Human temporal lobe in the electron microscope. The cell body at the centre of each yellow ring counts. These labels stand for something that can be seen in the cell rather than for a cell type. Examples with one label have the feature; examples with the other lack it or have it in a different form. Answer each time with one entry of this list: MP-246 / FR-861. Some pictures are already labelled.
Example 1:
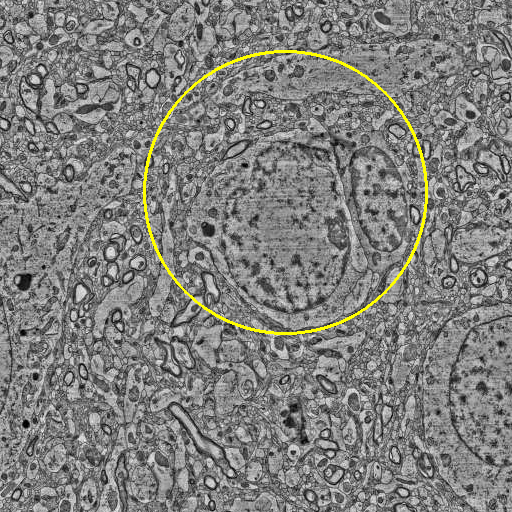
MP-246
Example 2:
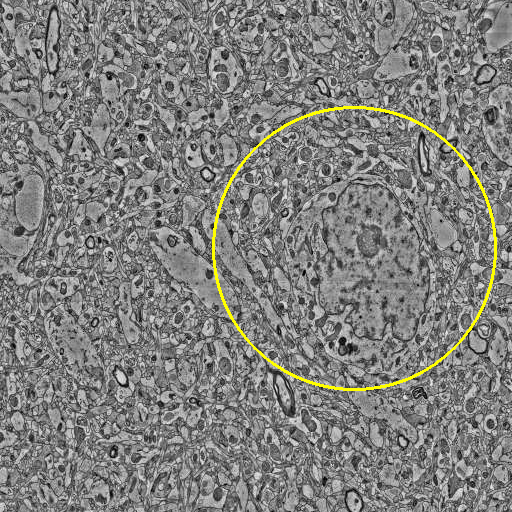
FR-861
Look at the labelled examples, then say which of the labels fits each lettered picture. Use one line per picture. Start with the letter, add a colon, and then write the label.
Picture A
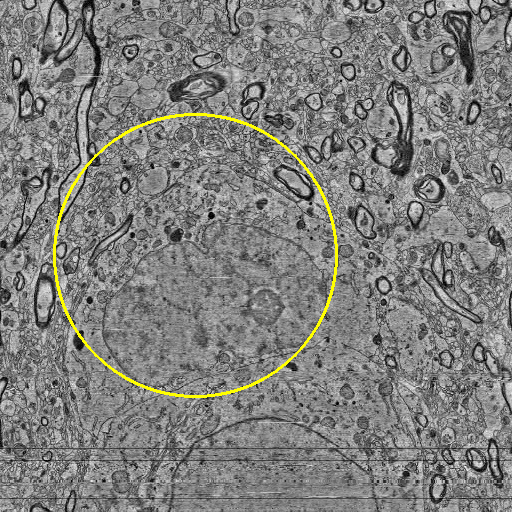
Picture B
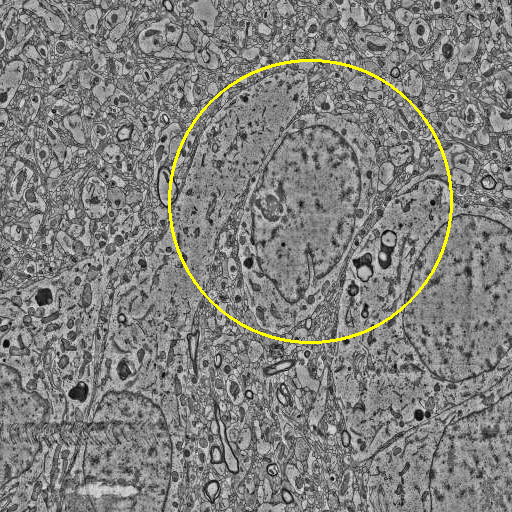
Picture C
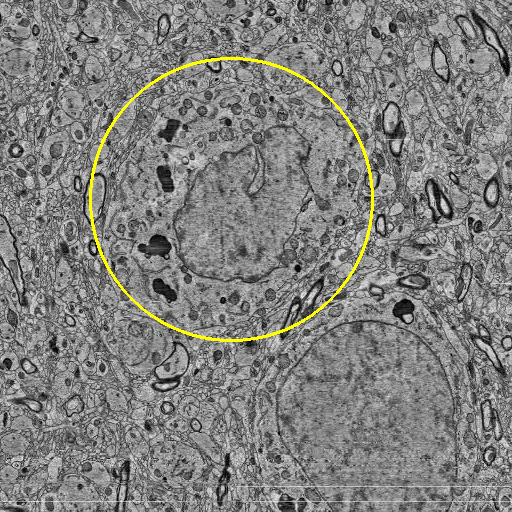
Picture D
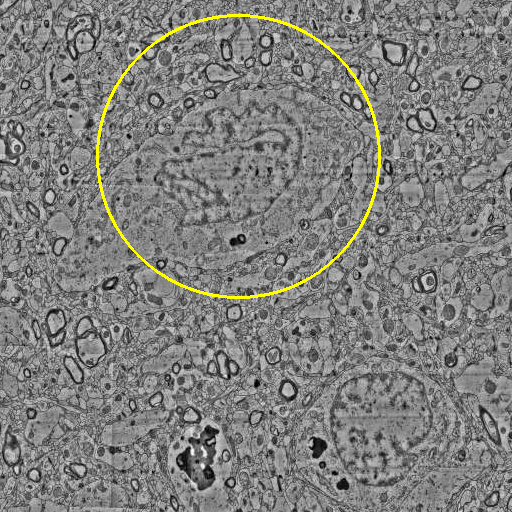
A: MP-246
B: FR-861
C: FR-861
D: FR-861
